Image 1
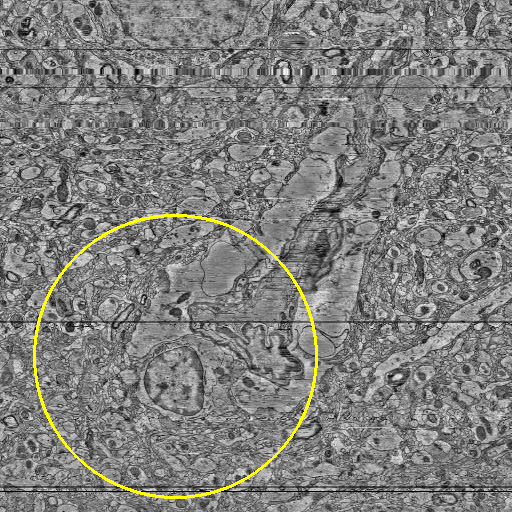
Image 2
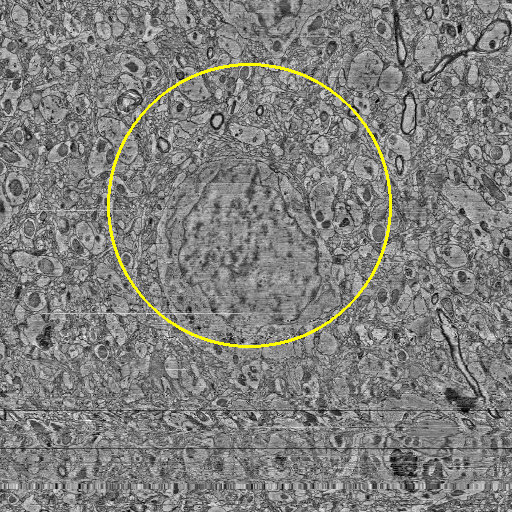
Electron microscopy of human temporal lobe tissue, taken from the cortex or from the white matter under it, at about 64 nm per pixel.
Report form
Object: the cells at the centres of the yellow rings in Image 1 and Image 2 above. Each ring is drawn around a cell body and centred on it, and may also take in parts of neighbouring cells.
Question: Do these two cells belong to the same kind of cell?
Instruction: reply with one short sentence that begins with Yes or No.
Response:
No, they belong to two kinds of cell.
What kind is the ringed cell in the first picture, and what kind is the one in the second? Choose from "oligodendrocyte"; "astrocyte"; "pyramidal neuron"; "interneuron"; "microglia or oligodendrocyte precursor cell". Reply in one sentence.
The first cell is a microglial cell or oligodendrocyte precursor cell; the second is an interneuron.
